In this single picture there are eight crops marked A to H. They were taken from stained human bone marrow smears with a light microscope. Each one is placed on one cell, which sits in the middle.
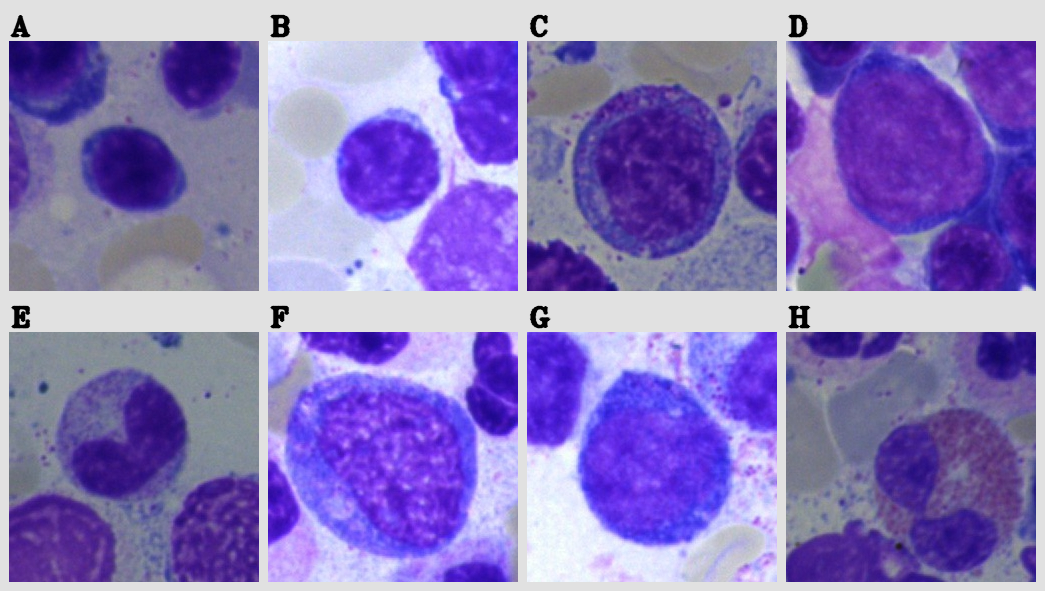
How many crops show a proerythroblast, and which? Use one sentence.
The total of crops with proerythroblasts is two, comprising D and G.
